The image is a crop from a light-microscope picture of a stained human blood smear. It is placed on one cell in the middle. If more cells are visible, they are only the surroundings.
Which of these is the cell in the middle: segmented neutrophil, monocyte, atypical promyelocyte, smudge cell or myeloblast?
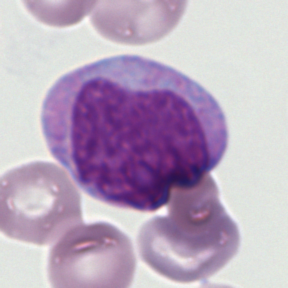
atypical promyelocyte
